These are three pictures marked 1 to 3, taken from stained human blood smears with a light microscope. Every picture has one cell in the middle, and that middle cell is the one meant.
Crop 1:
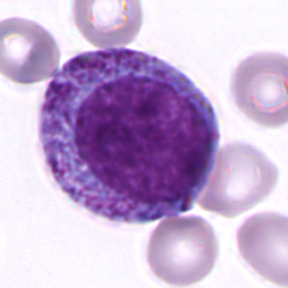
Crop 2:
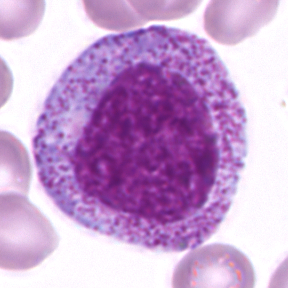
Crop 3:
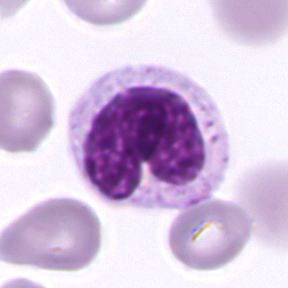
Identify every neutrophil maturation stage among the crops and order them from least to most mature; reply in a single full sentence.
Least to most mature, the order stands as crop 1 (a promyelocyte), crop 2 (a myelocyte) and crop 3 (a band neutrophil).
